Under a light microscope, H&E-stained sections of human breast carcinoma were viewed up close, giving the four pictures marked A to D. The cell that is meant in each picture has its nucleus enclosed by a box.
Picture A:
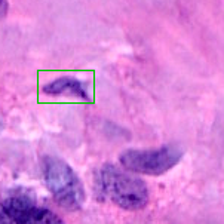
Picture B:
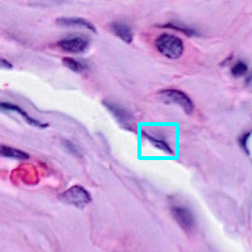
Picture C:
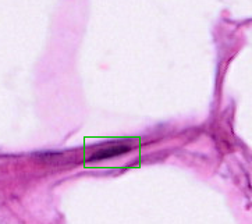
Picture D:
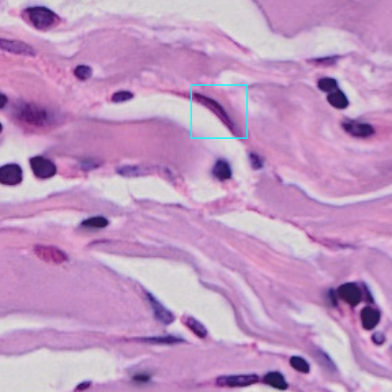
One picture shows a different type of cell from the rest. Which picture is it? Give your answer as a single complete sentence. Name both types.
All pictures except C show fibroblasts; picture C shows an endothelial cell.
